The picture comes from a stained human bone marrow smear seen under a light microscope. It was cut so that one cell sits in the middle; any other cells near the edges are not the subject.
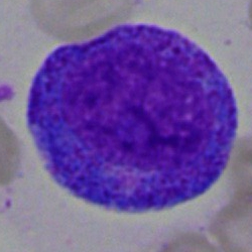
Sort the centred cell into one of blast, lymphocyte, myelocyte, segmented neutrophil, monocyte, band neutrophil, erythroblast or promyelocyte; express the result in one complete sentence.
In the centre of this crop there is a promyelocyte.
